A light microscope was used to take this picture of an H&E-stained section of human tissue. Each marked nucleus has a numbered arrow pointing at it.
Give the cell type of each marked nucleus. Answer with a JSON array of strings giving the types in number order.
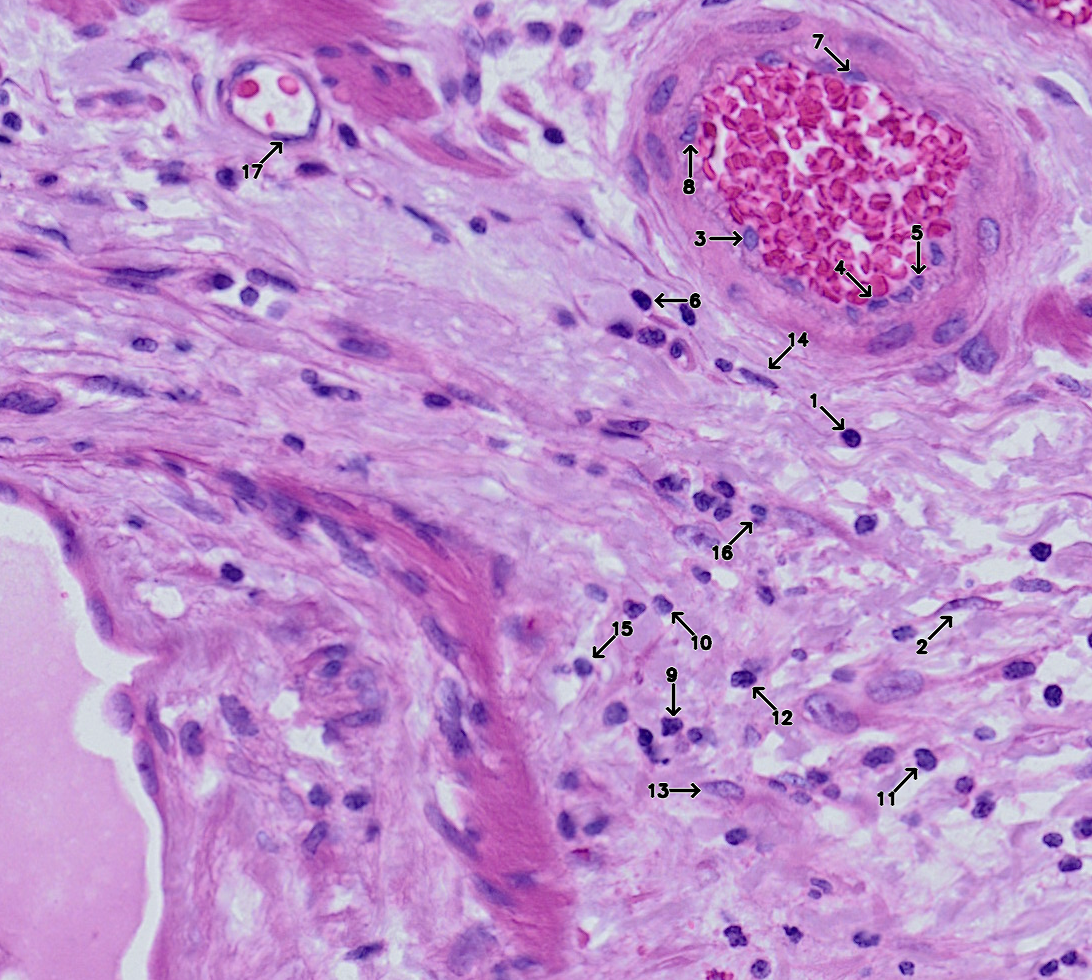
["lymphocyte", "fibroblast", "endothelial cell", "endothelial cell", "endothelial cell", "lymphocyte", "endothelial cell", "endothelial cell", "lymphocyte", "lymphocyte", "lymphocyte", "lymphocyte", "fibroblast", "fibroblast", "lymphocyte", "lymphocyte", "endothelial cell"]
